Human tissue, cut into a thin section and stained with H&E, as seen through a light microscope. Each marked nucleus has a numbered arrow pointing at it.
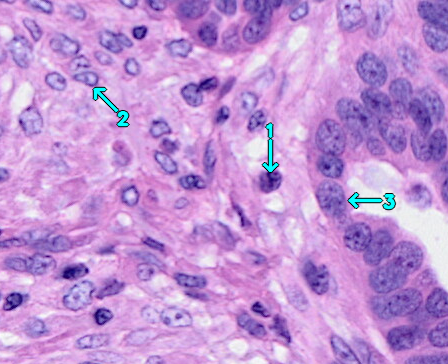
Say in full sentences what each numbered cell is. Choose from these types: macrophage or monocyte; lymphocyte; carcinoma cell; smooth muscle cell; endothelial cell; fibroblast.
Cell 1 is a lymphocyte. Cell 2 is a fibroblast. Cell 3 is a carcinoma cell.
